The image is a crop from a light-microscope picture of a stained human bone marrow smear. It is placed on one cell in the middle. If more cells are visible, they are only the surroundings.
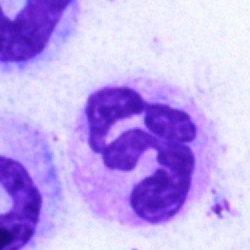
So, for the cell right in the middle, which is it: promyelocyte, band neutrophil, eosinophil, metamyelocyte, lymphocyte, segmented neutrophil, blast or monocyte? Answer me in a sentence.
By type, the central cell of the crop is a segmented neutrophil.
